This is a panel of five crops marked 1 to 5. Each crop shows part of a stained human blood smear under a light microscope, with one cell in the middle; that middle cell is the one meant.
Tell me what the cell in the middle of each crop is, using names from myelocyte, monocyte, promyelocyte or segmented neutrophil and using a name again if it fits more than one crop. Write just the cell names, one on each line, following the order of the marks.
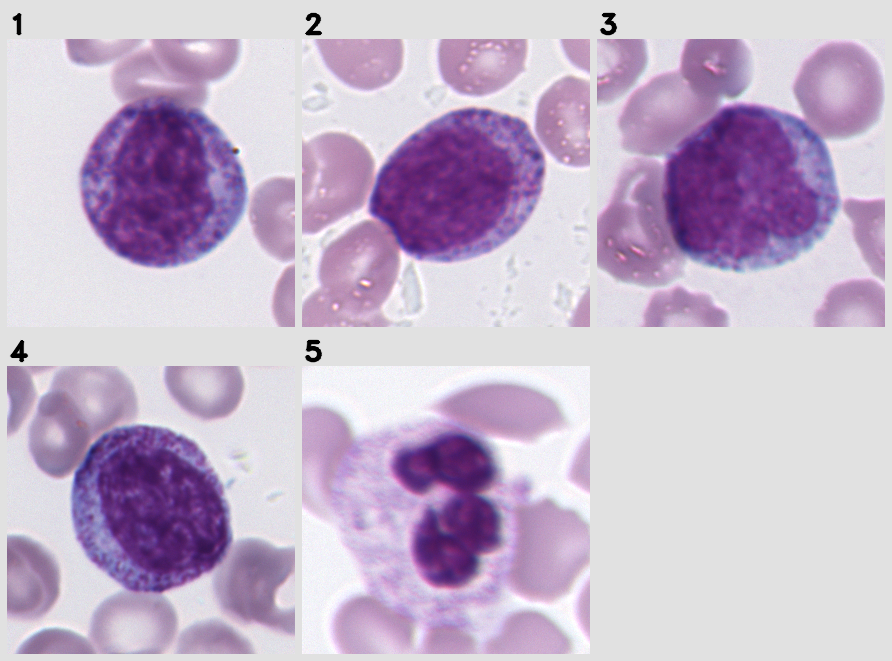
myelocyte
myelocyte
promyelocyte
promyelocyte
segmented neutrophil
